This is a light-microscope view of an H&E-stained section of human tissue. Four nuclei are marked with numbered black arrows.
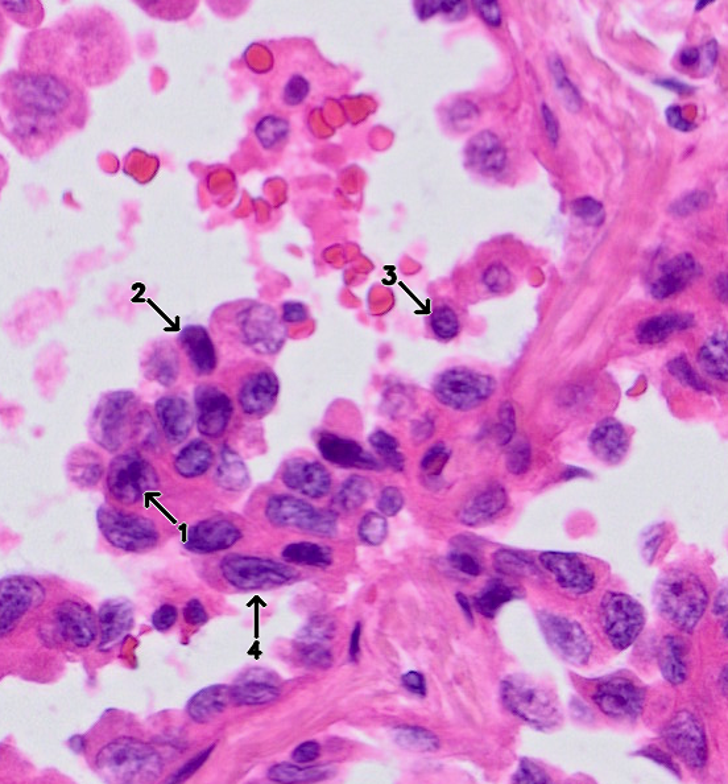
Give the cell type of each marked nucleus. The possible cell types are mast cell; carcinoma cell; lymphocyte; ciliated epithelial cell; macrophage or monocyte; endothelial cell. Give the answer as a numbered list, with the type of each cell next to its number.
1. carcinoma cell
2. carcinoma cell
3. macrophage or monocyte
4. carcinoma cell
